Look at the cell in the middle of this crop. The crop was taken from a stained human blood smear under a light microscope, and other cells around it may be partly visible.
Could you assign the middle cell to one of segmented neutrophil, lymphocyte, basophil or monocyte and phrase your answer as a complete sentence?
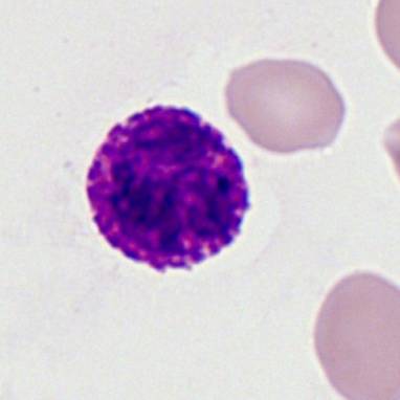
Answering briefly, the cell in the middle is a basophil.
